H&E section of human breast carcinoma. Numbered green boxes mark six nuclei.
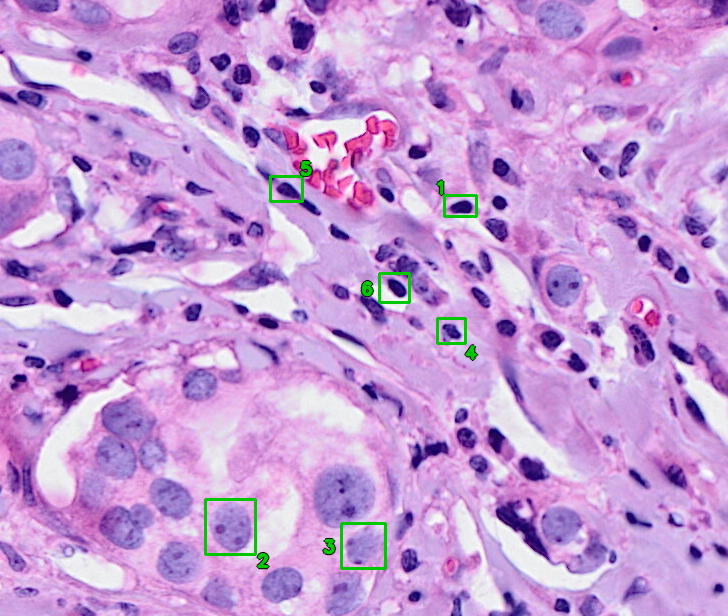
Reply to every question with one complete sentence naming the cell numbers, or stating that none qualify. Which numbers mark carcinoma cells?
When it comes to cells 2 and 3, they are carcinoma cells.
